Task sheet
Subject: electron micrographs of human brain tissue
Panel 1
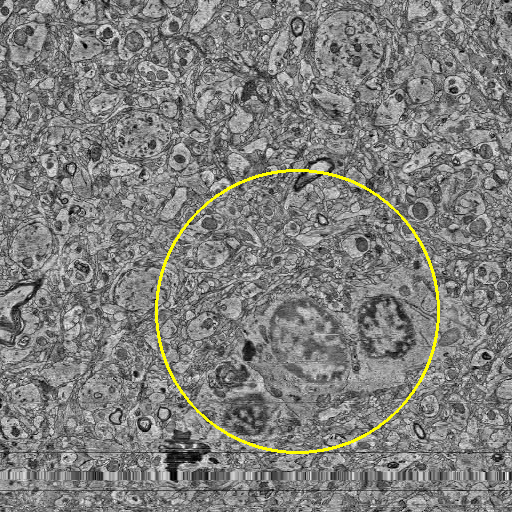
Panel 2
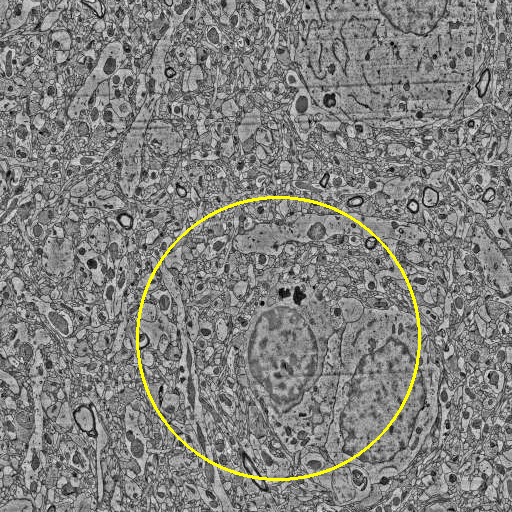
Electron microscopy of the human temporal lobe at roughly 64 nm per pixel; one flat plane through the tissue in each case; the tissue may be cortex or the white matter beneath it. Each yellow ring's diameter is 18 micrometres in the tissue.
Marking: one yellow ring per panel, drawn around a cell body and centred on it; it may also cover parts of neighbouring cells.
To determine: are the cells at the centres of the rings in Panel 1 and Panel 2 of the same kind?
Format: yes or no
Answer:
yes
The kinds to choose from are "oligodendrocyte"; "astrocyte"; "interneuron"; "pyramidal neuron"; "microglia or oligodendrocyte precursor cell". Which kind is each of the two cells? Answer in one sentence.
Each cell at the centre of a ring is an oligodendrocyte.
